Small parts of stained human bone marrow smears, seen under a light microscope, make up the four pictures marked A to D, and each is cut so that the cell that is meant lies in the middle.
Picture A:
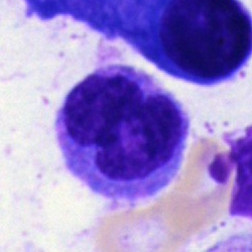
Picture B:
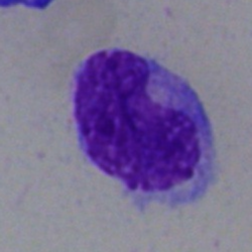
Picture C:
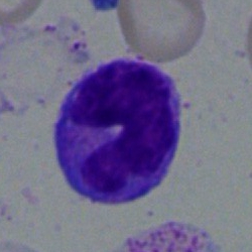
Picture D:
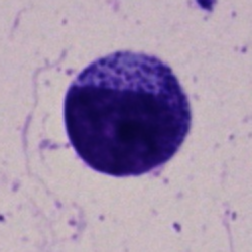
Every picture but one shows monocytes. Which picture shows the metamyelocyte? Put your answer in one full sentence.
The metamyelocyte is the one in picture D.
